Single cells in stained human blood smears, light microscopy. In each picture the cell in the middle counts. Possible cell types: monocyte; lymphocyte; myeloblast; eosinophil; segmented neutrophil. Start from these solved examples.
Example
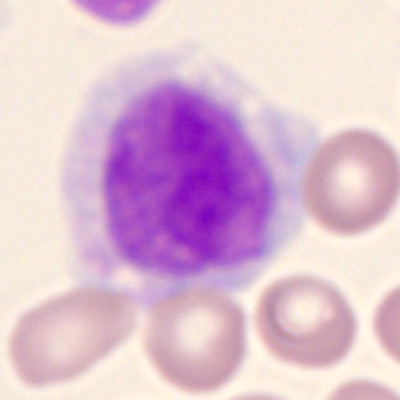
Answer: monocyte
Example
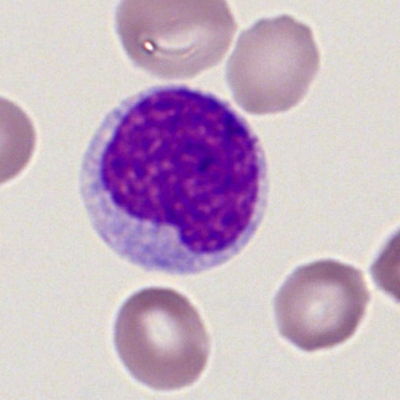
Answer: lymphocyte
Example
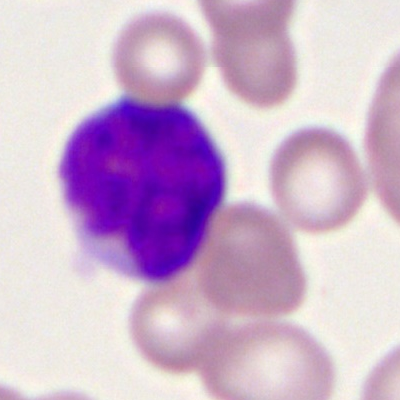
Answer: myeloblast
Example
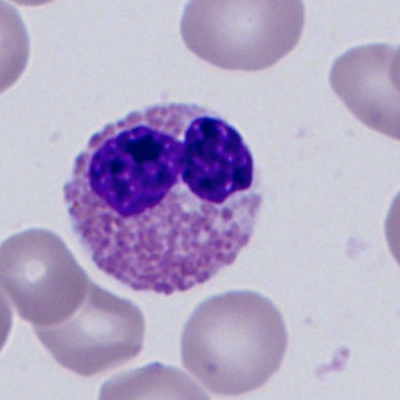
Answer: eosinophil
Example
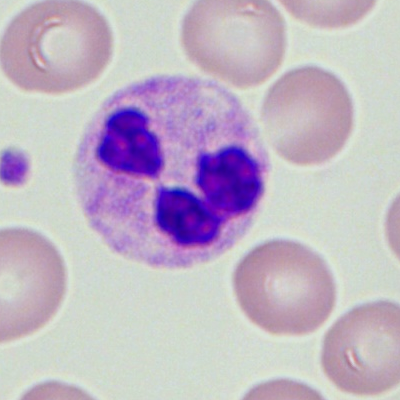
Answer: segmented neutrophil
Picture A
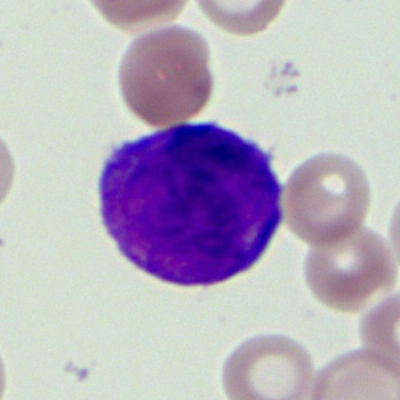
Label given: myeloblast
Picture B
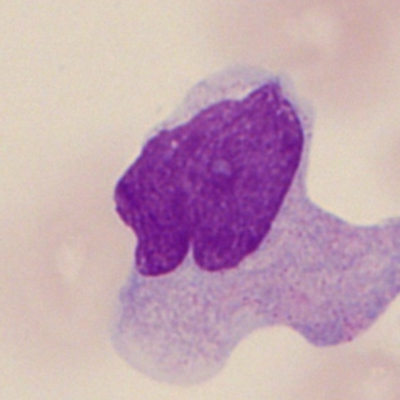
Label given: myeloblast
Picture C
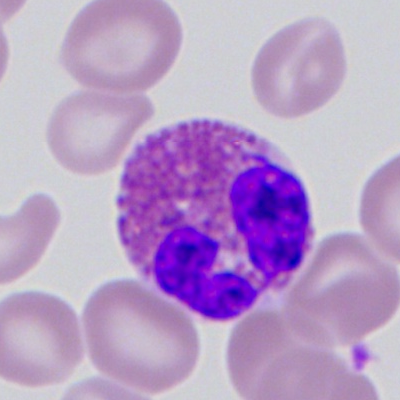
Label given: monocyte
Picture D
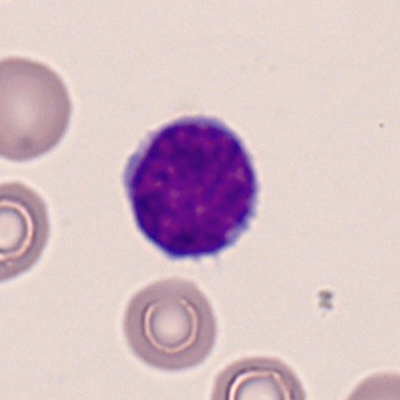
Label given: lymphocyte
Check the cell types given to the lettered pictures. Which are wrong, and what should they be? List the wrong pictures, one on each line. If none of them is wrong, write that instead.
B is labelled myeloblast; correct label: monocyte
C is labelled monocyte; correct label: eosinophil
